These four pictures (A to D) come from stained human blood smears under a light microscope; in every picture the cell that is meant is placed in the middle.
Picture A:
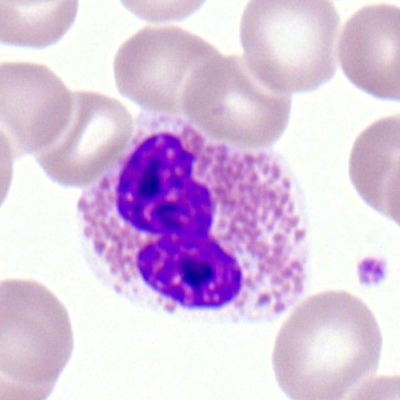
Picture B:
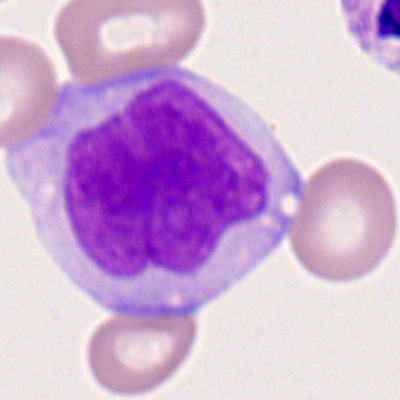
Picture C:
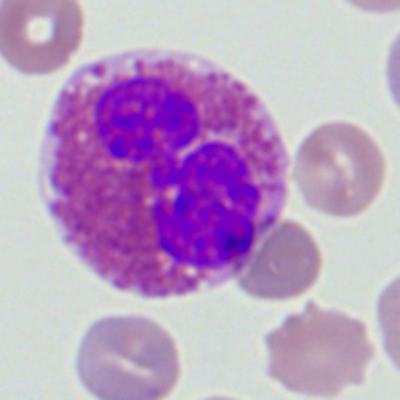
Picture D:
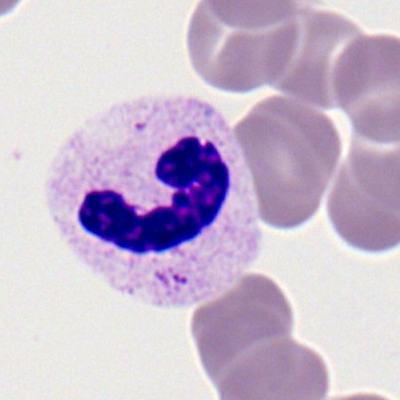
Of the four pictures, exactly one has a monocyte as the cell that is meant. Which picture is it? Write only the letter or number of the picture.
B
